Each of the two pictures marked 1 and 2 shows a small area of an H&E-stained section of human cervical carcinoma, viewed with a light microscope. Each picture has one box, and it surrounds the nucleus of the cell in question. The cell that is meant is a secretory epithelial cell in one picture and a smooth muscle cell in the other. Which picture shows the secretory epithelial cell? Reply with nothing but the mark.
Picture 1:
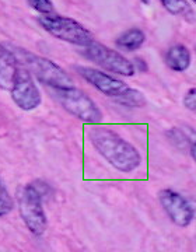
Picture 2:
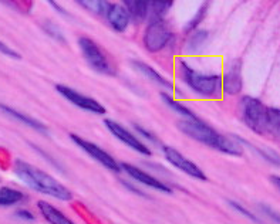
2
